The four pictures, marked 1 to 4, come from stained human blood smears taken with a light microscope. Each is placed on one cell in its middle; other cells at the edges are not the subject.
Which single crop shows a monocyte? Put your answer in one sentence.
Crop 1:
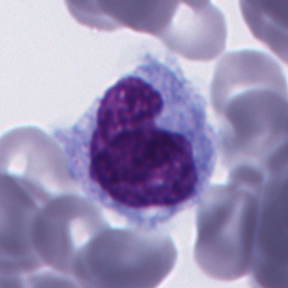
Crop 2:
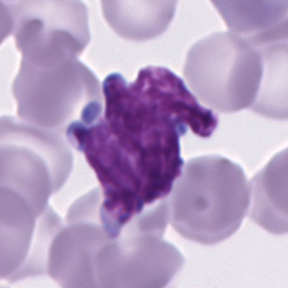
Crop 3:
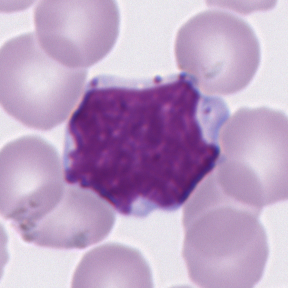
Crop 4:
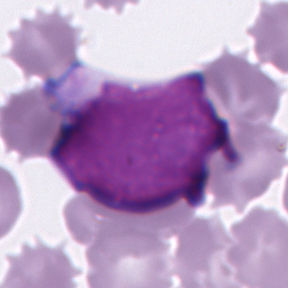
The one that shows a monocyte is crop 1.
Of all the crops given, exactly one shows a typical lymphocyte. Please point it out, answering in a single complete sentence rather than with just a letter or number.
Among the crops, only crop 2 contains a typical lymphocyte.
